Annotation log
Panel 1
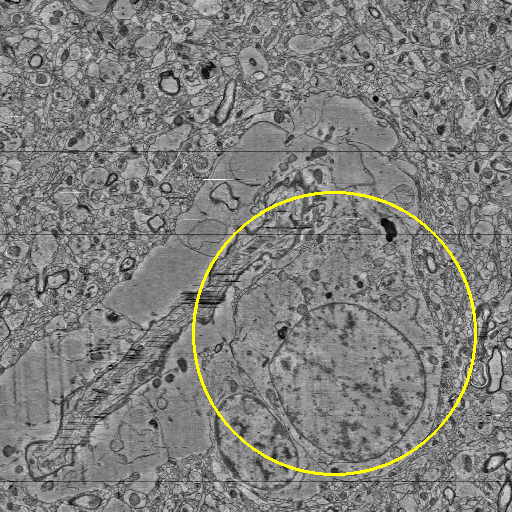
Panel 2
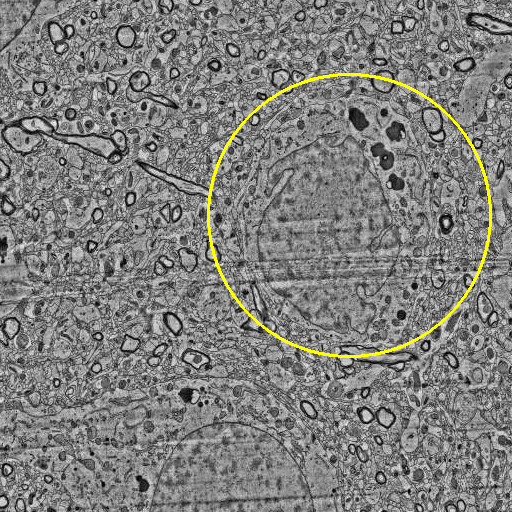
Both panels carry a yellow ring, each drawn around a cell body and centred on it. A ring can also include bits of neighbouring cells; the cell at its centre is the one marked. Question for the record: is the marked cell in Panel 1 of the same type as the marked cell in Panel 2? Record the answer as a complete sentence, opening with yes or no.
No, the marked cells in Panel 1 and Panel 2 are of two types.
